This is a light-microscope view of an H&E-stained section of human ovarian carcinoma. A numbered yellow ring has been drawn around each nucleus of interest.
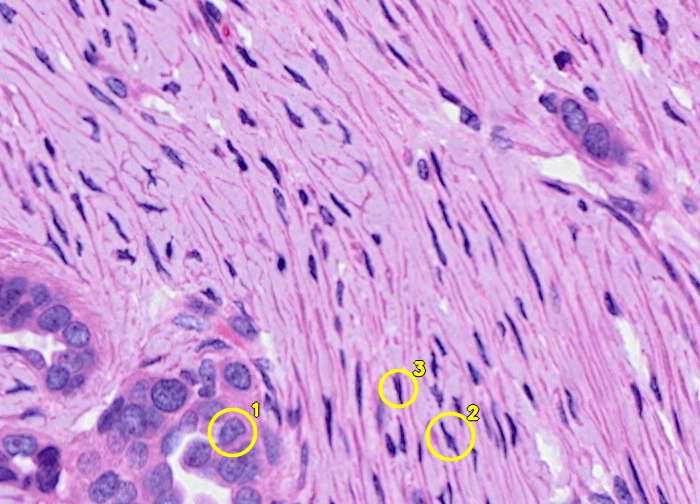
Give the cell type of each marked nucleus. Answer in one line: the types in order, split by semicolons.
carcinoma cell; fibroblast; fibroblast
